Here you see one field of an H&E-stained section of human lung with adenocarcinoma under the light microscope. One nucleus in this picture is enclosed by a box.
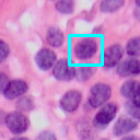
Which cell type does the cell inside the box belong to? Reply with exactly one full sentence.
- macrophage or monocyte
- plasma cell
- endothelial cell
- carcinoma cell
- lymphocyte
In cellular terms, the cell inside the box is a lymphocyte.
